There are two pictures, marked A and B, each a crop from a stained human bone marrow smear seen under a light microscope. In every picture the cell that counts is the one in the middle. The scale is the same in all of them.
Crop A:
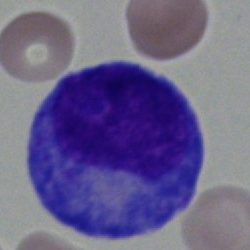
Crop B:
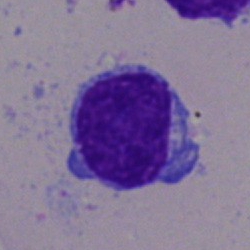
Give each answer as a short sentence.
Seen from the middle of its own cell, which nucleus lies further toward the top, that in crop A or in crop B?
Seen within its cell, the nucleus in crop A lies further toward the top.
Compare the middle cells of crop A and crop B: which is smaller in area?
It is the cell in crop B; the cell in crop A has about 2 times its area.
